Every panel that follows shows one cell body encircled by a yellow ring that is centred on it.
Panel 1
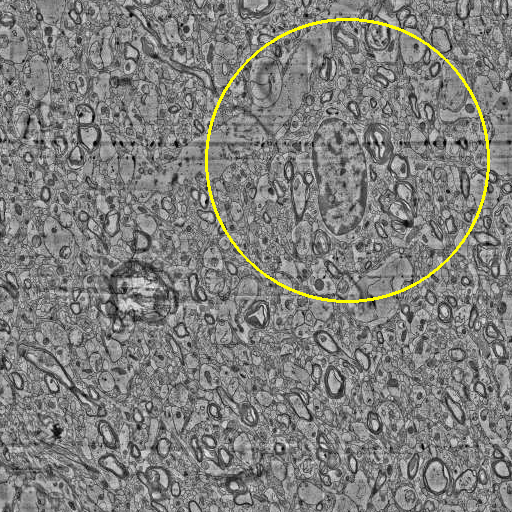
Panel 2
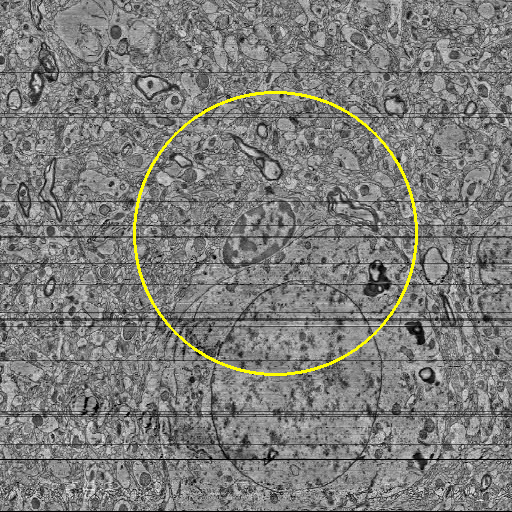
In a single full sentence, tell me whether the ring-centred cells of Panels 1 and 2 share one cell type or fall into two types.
In Panel 1 and Panel 2, the cells at the ring centres share one cell type.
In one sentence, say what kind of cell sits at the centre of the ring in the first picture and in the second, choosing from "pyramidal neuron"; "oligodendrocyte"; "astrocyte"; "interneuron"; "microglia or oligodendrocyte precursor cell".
The cell in the first picture is a microglial cell or oligodendrocyte precursor cell, and so is the one in the second.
